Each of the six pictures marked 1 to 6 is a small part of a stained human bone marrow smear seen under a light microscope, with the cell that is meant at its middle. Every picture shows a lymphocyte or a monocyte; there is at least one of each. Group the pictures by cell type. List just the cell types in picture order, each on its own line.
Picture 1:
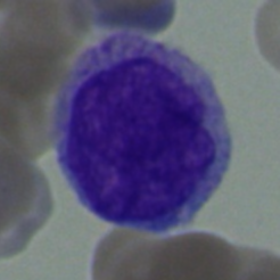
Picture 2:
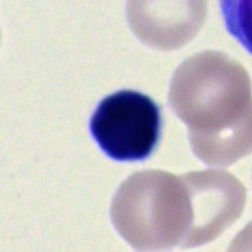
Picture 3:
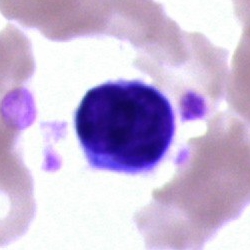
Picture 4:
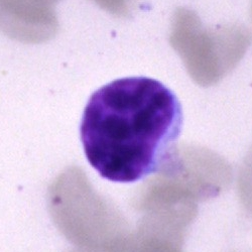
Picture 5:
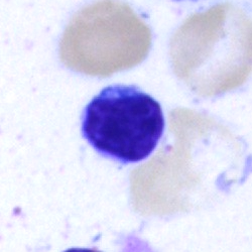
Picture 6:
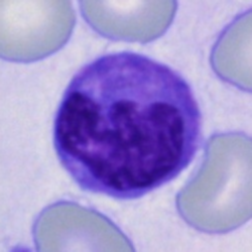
monocyte
lymphocyte
lymphocyte
lymphocyte
lymphocyte
monocyte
